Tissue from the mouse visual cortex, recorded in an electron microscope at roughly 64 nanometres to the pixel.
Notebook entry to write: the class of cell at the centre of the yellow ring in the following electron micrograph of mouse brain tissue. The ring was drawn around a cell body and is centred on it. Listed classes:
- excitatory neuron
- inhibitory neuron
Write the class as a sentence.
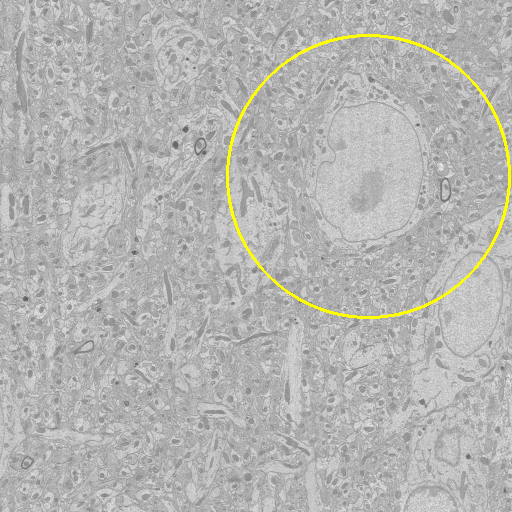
The yellow ring sits on an excitatory neuron.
